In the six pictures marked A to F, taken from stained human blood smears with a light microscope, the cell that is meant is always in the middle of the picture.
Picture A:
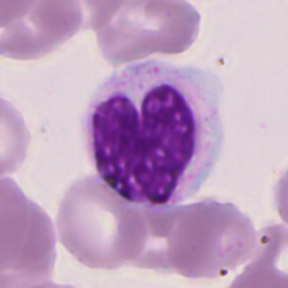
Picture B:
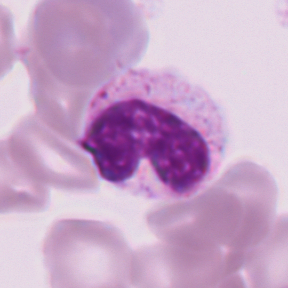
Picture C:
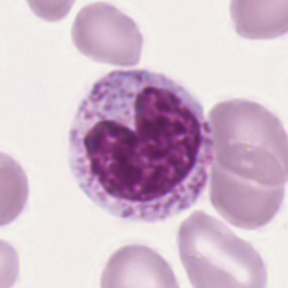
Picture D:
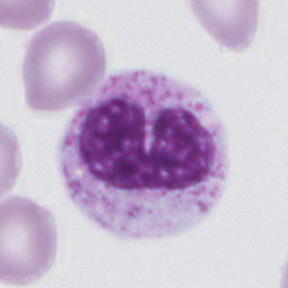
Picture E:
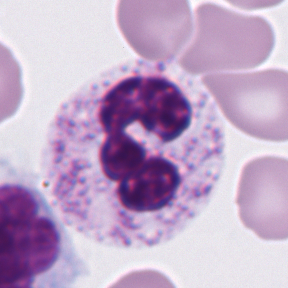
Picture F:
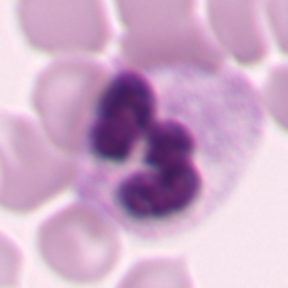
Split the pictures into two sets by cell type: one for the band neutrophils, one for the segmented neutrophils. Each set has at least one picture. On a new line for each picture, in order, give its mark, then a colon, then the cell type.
A: band neutrophil
B: band neutrophil
C: band neutrophil
D: band neutrophil
E: segmented neutrophil
F: segmented neutrophil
